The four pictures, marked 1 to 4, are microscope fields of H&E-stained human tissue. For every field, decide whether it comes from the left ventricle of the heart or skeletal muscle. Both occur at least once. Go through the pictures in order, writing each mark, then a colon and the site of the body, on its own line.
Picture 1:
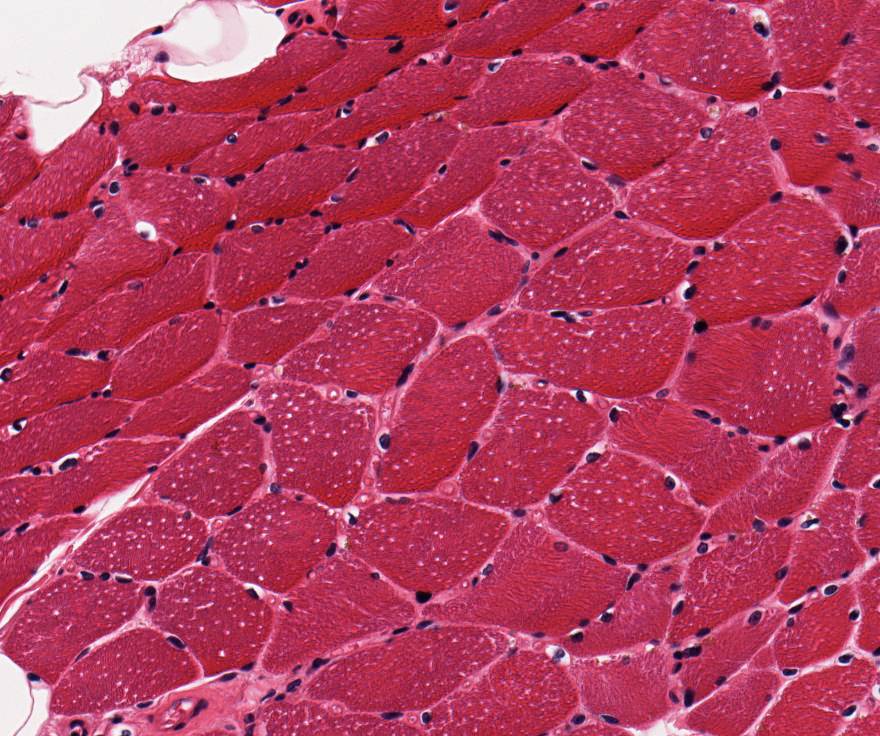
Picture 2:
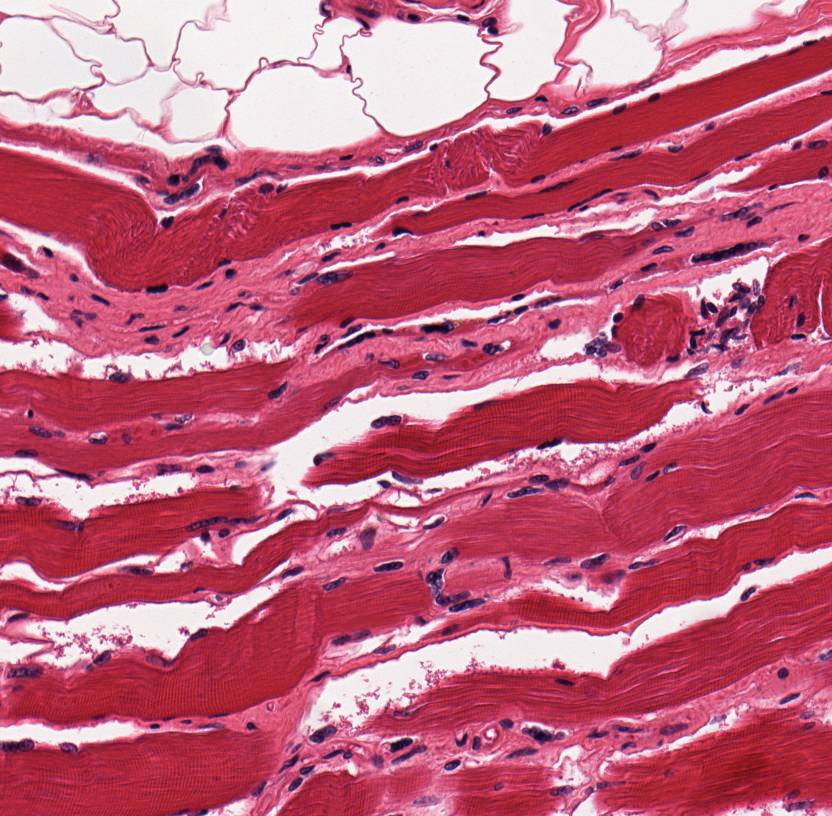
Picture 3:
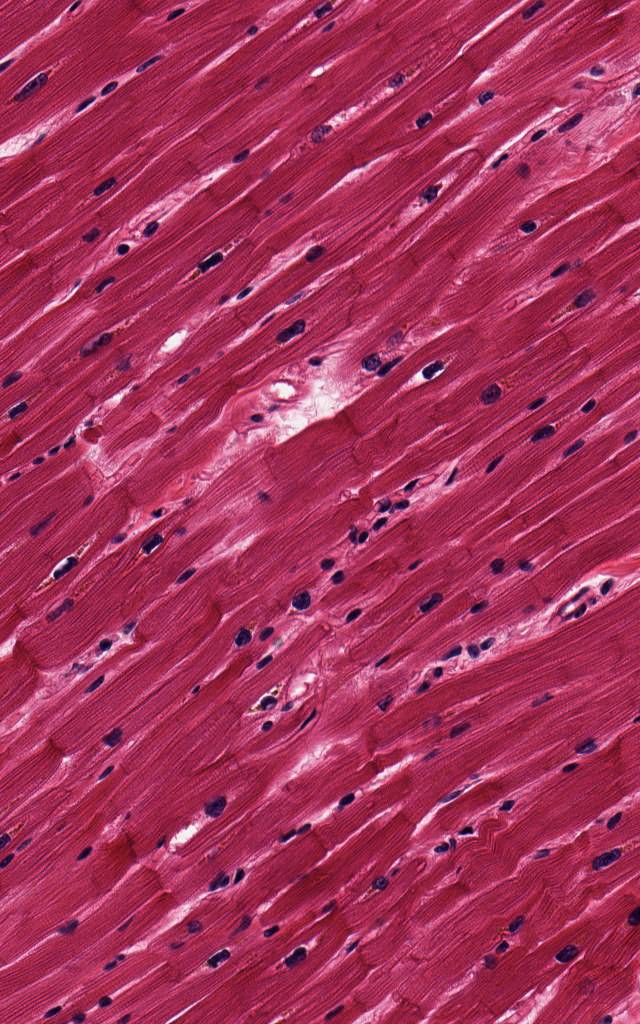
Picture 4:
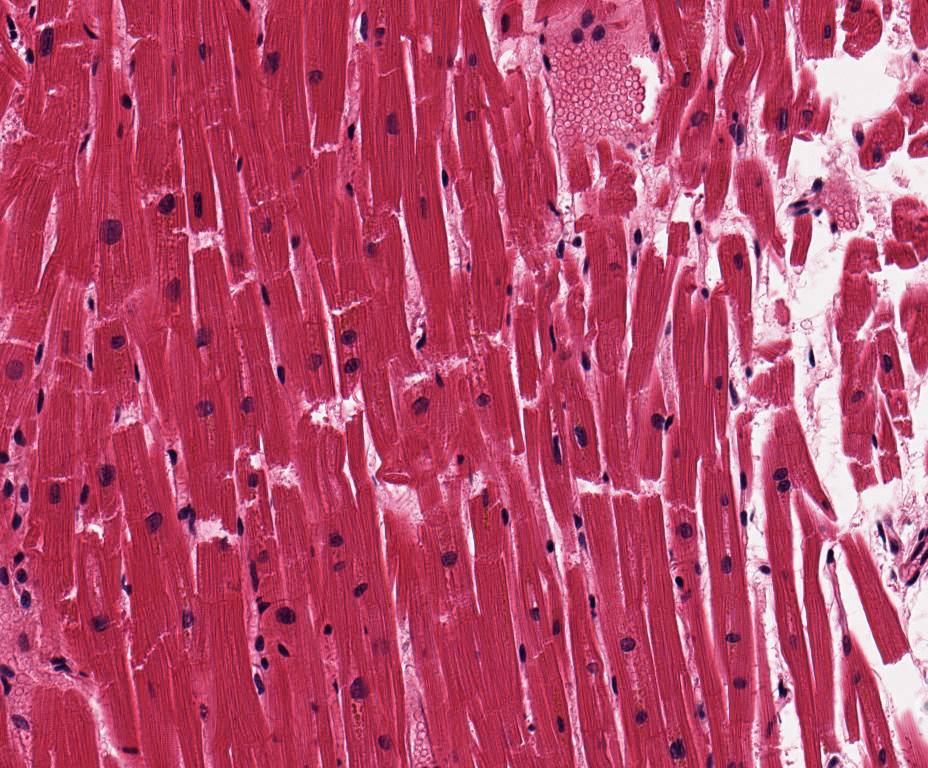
1: skeletal muscle
2: skeletal muscle
3: left ventricle of the heart
4: left ventricle of the heart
